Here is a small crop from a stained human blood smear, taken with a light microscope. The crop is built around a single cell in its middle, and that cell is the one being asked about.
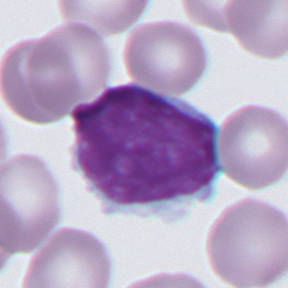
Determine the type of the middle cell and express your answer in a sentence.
The cell at the centre of the field is a typical lymphocyte.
